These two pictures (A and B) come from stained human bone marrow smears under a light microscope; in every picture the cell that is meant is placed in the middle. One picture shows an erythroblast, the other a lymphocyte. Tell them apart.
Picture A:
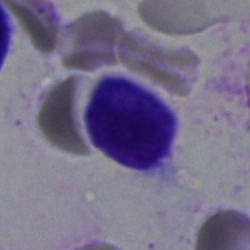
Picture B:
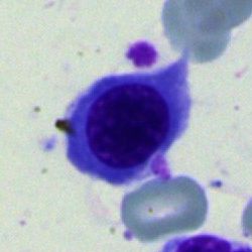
A: lymphocyte
B: erythroblast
